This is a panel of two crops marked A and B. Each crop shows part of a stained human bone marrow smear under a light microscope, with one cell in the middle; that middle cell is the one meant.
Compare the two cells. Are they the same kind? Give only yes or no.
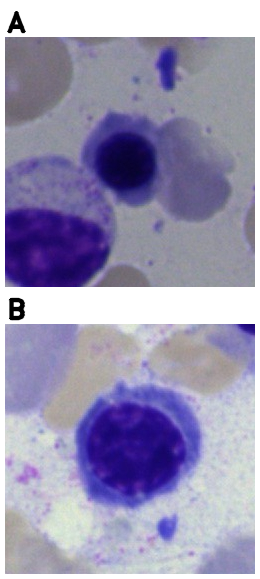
yes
